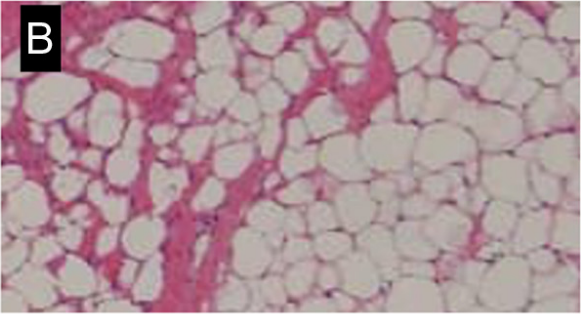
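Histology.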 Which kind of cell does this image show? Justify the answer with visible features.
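White adipocytes. Large, empty-looking polygonal cells with very thin rims. Pink fibrous bands separate groups of these cells into lobules.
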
